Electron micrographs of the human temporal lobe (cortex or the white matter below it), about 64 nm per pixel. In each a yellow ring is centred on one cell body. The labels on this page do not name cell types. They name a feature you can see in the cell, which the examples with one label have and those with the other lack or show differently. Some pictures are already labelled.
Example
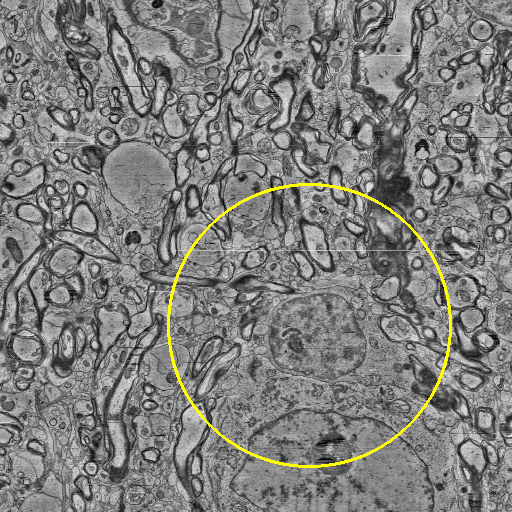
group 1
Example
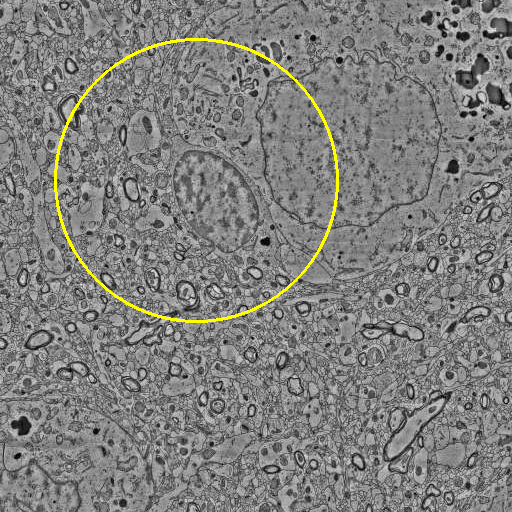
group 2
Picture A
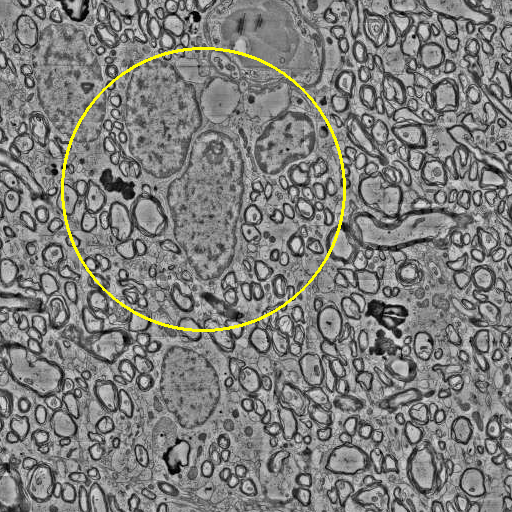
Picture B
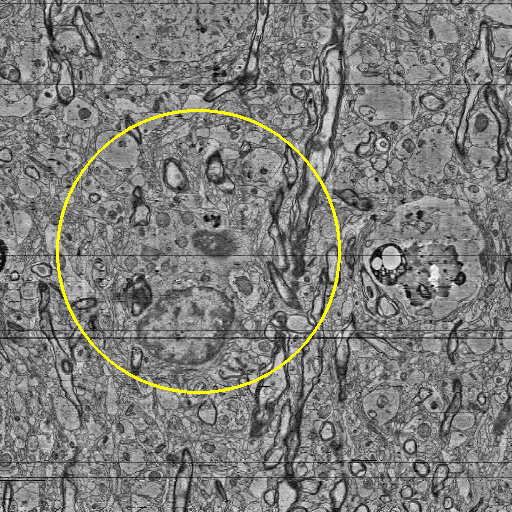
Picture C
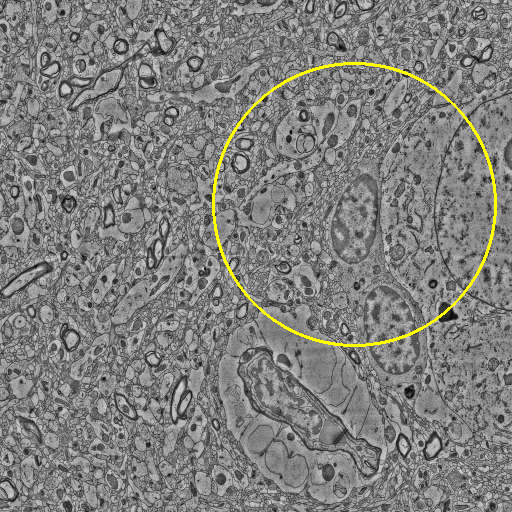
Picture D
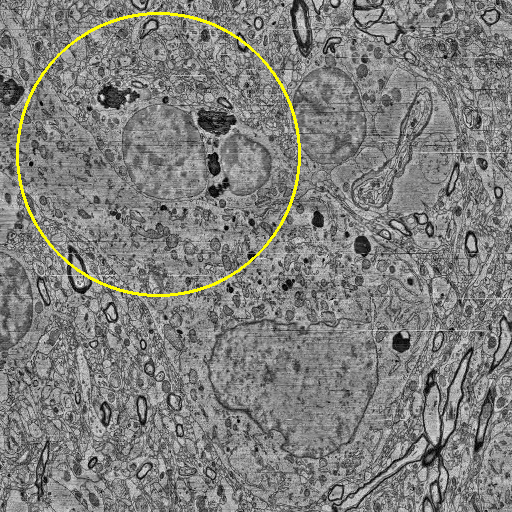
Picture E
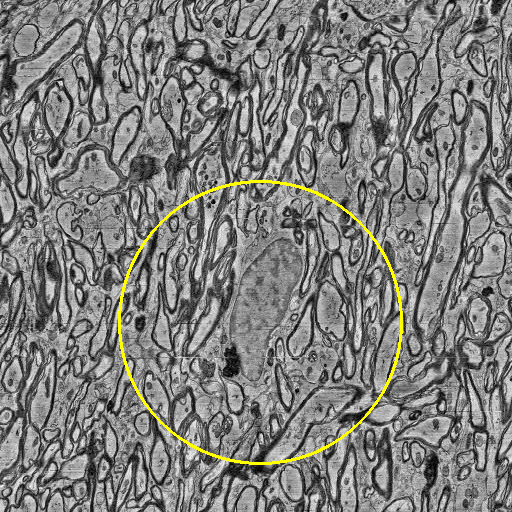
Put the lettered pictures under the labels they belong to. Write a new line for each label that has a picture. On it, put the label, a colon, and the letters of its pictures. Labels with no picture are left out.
group 1: B, D
group 2: A, C, E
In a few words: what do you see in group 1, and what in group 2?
group 1: round or nearly round nuclei; group 2: clearly elongated nuclei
